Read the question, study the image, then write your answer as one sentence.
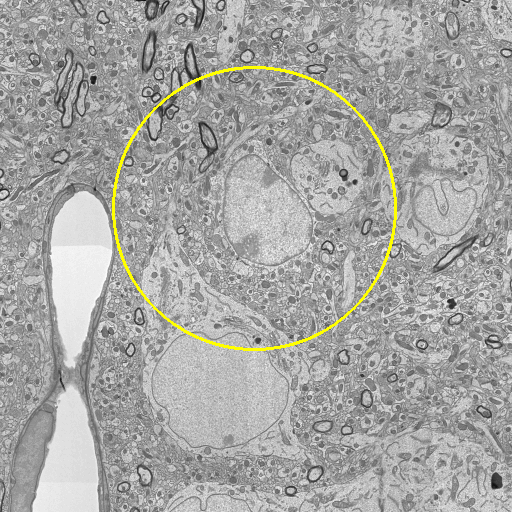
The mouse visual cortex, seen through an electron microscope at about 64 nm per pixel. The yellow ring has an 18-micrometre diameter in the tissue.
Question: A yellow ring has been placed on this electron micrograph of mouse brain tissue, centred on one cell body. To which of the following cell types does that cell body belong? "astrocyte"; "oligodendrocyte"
That cell body belongs to an astrocyte.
